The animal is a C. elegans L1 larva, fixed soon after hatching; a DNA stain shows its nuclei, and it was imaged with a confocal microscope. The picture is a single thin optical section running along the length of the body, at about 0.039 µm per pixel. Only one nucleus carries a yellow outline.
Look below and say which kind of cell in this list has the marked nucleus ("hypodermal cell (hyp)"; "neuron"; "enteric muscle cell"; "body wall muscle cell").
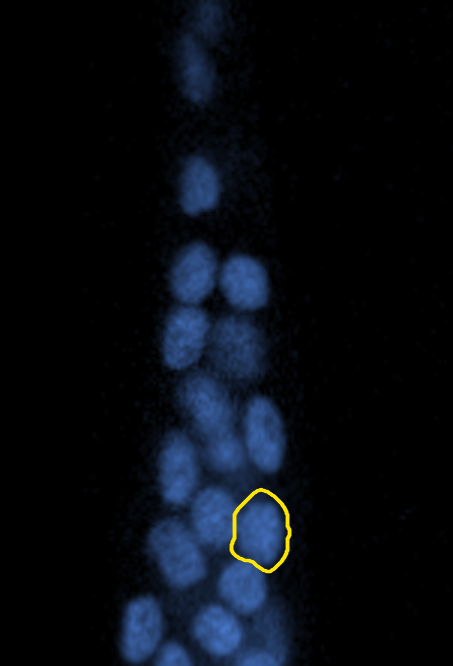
enteric muscle cell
